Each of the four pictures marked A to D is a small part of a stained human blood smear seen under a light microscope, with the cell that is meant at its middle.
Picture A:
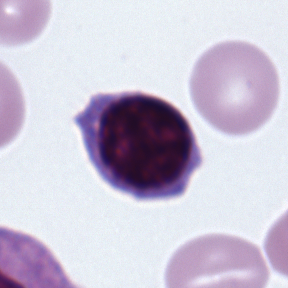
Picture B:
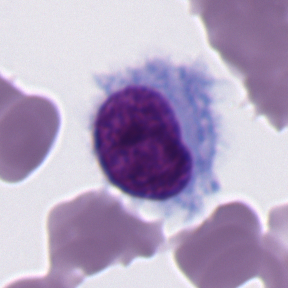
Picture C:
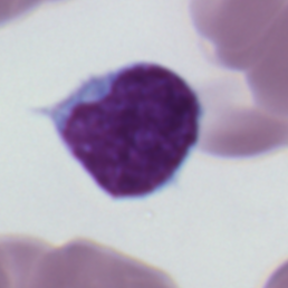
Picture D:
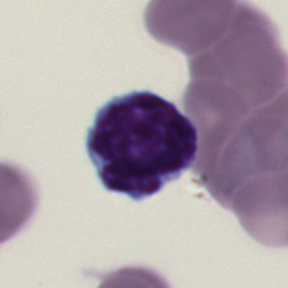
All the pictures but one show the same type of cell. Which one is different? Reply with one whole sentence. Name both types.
Unlike the rest, which show typical lymphocytes, picture B shows a hairy cell.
